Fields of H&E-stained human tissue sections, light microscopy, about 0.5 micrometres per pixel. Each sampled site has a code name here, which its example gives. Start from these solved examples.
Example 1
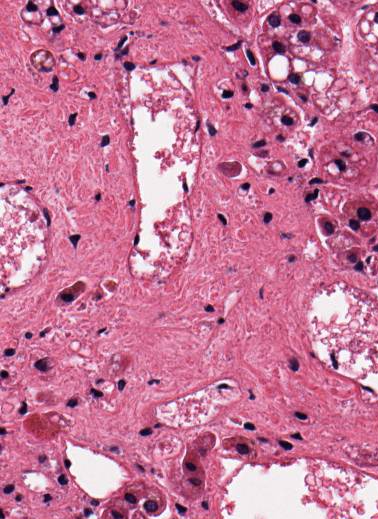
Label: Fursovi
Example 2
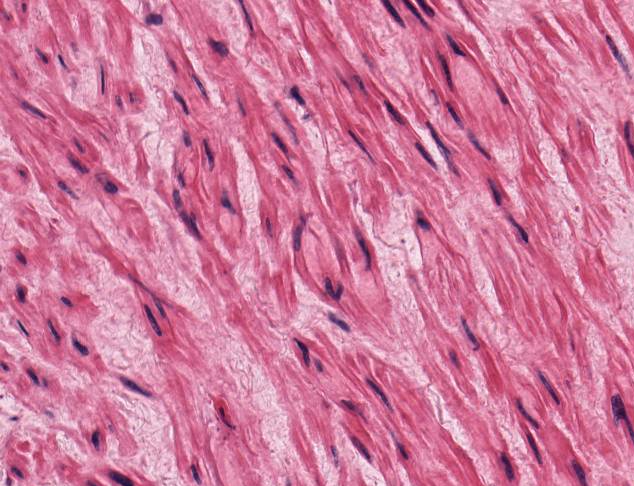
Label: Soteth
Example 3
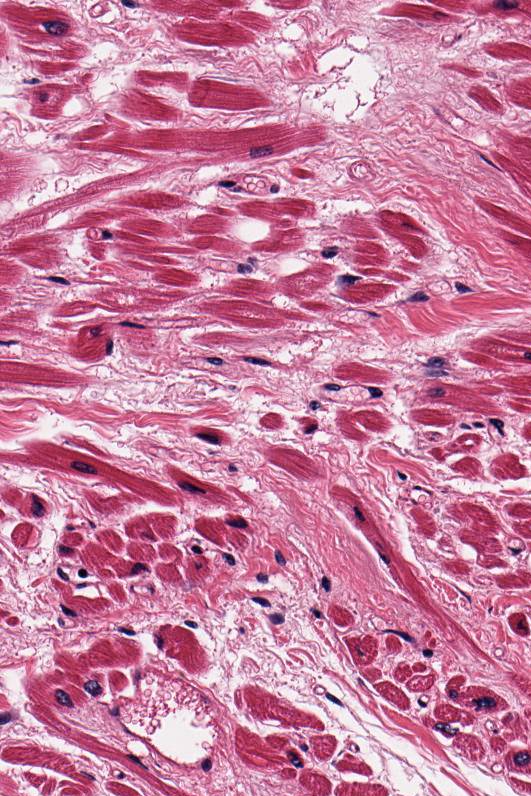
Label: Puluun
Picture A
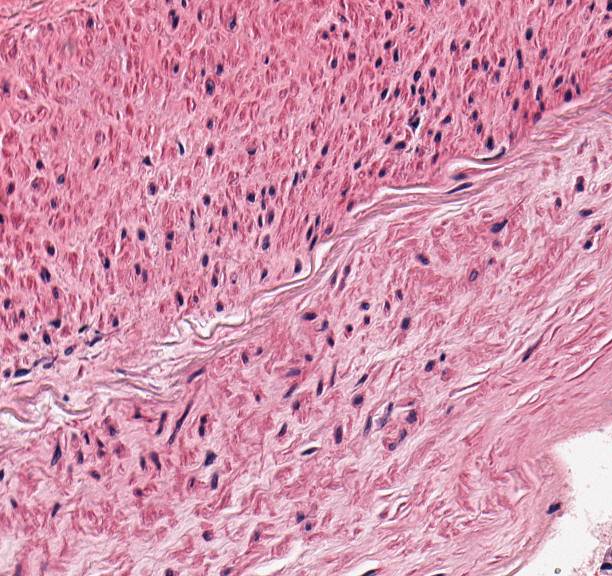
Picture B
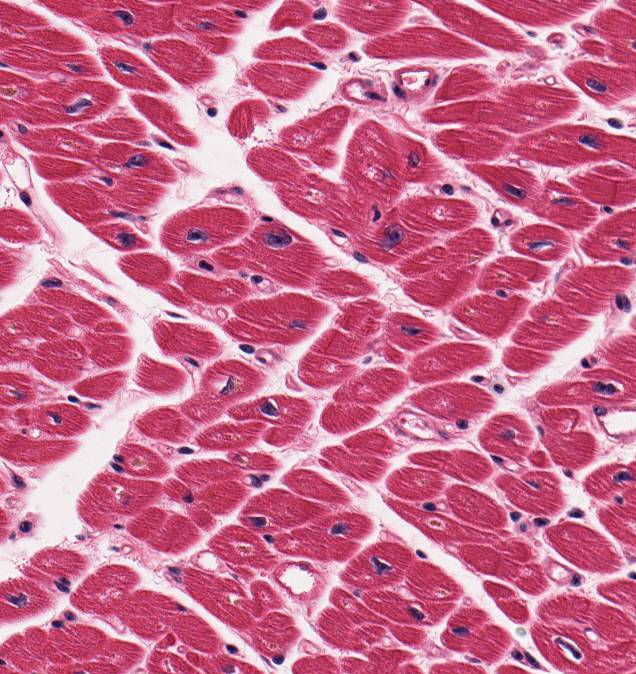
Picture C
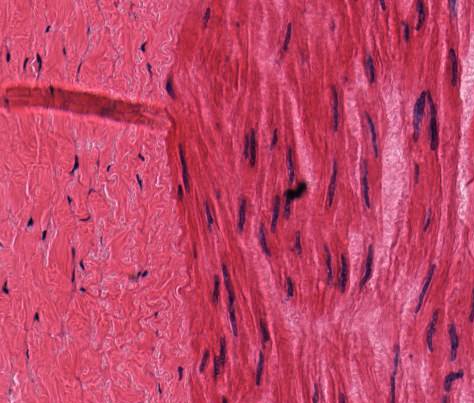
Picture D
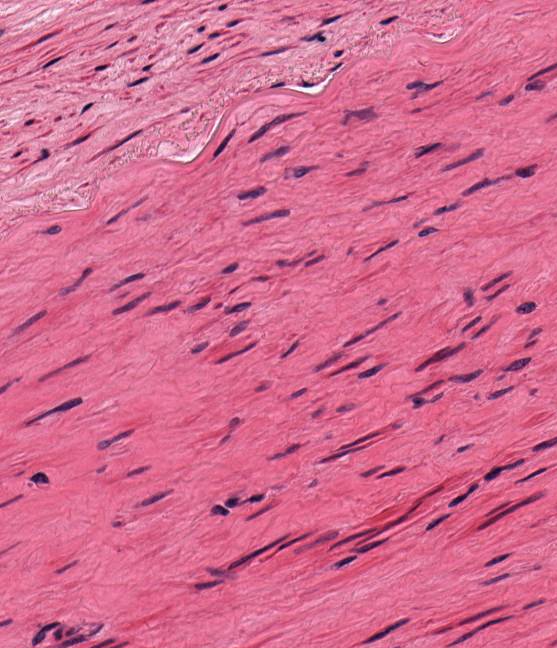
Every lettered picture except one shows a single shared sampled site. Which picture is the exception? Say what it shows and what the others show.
Exception: B, showing Puluun. Remaining pictures: Soteth.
